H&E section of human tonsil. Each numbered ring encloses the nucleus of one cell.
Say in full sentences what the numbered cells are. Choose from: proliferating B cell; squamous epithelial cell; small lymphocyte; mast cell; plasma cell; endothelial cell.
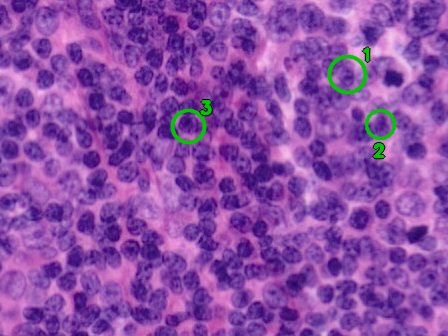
Cells 1 and 2 are proliferating B cells. Cell 3 is a small lymphocyte.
